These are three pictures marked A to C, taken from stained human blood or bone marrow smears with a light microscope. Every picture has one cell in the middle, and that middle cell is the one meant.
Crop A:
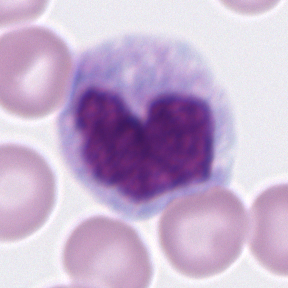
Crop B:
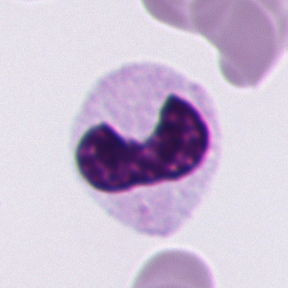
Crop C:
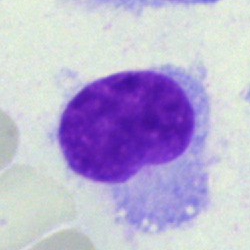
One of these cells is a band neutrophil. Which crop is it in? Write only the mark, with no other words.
B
